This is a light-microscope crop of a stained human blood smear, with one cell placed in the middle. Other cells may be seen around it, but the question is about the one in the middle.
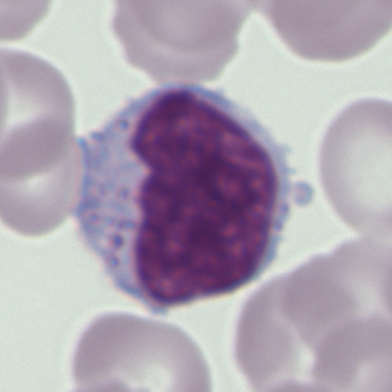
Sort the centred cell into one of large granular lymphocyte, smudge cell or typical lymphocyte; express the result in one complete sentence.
At the center of the crop sits a typical lymphocyte.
